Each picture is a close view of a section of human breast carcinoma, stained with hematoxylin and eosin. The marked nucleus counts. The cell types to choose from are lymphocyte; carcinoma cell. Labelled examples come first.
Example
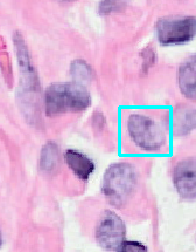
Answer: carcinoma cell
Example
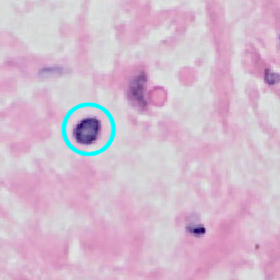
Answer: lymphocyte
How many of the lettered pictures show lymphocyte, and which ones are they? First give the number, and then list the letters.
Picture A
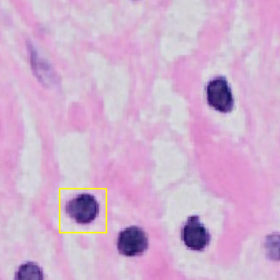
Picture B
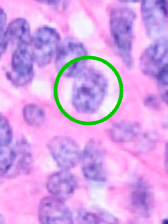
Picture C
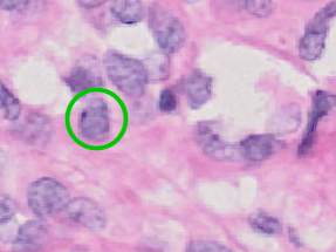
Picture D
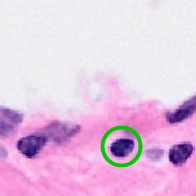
2, namely A, D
